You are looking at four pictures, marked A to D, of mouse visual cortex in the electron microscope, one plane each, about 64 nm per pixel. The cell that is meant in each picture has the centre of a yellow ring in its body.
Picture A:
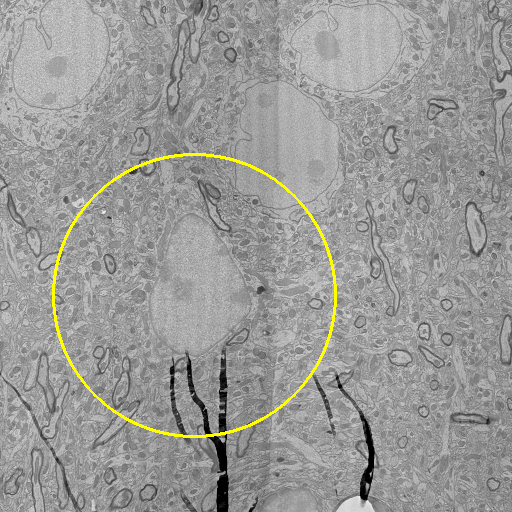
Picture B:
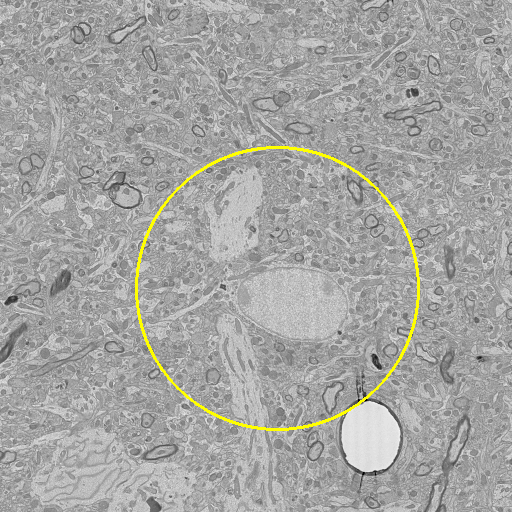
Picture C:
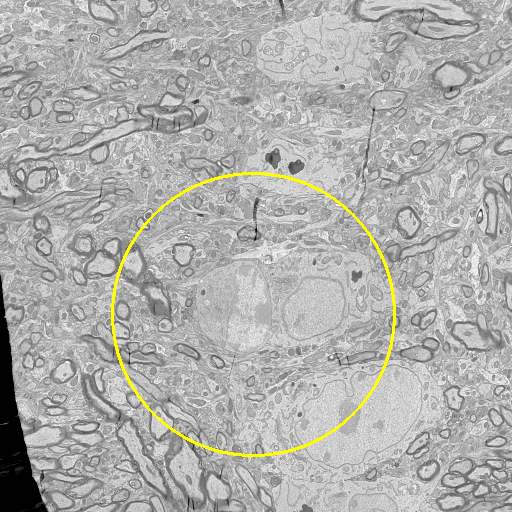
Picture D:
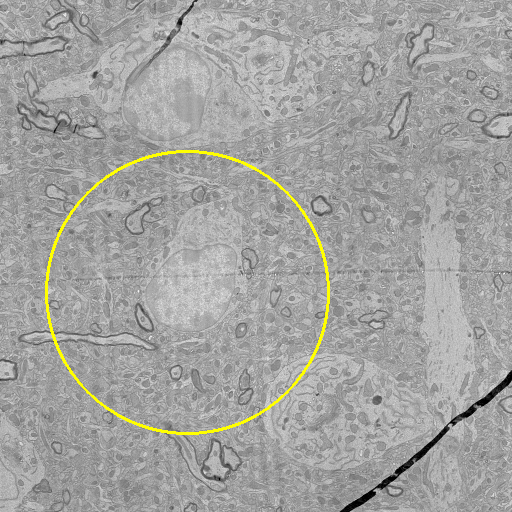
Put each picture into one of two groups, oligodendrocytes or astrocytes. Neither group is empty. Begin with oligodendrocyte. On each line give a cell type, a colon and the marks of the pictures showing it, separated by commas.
oligodendrocyte: C, D
astrocyte: A, B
